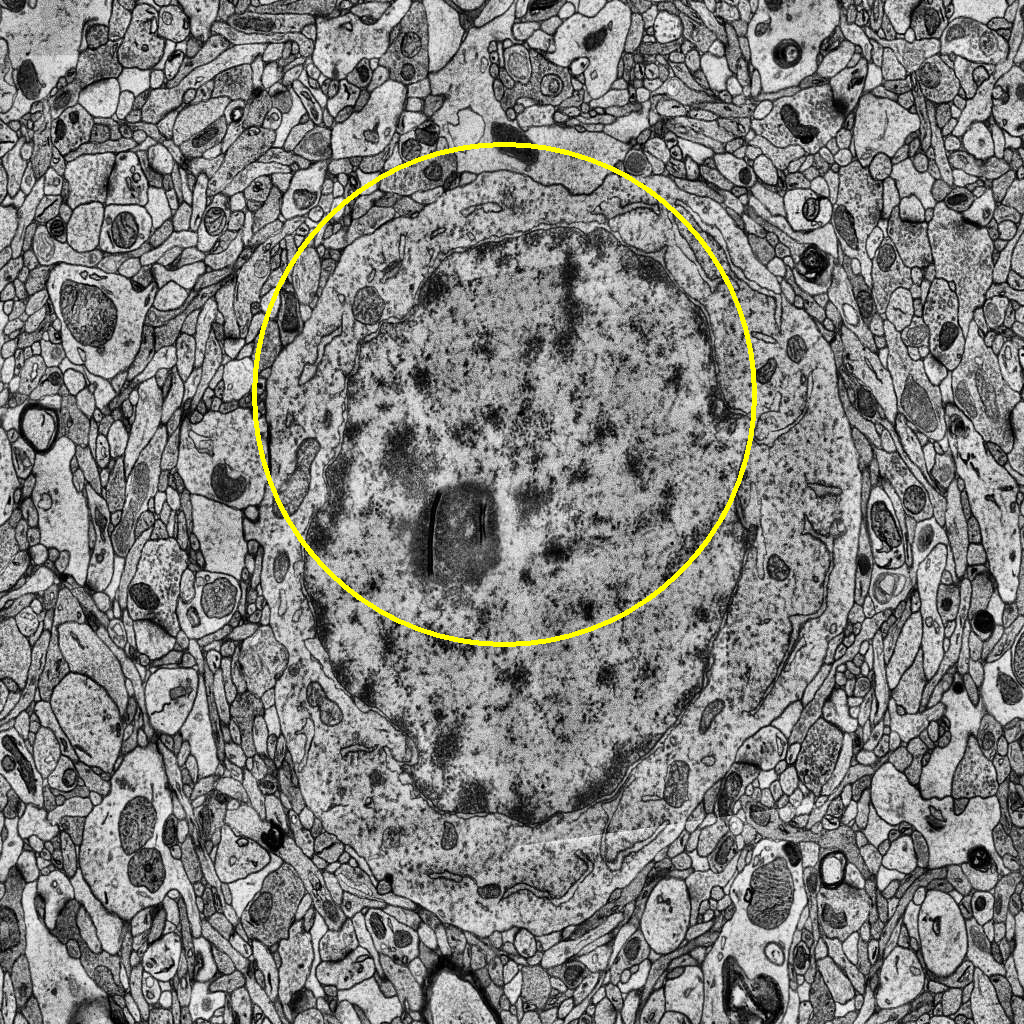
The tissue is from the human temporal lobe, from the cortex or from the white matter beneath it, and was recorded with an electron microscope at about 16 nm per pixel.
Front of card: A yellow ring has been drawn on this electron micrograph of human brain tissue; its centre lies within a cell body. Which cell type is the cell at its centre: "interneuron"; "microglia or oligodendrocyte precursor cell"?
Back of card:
interneuron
